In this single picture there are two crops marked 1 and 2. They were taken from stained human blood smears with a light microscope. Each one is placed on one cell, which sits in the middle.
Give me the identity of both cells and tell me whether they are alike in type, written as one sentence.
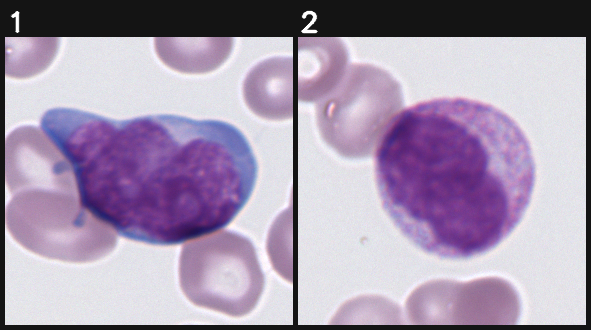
No, it is crop 1 that shows a myeloblast, and crop 2 that shows an atypical promyelocyte.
